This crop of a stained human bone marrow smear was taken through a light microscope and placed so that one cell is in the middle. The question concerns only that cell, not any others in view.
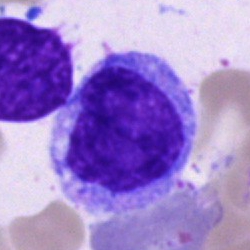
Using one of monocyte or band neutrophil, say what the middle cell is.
monocyte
